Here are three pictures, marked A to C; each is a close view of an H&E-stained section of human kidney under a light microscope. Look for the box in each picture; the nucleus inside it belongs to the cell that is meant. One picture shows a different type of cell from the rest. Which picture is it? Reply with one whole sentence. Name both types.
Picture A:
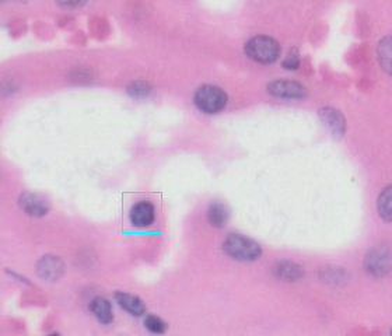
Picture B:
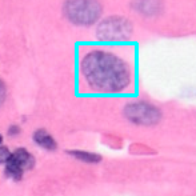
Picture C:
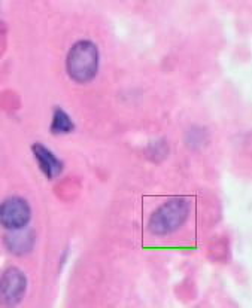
The others show “loop of Henle or distal tubule cells”, but picture C shows a proximal tubule cell.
